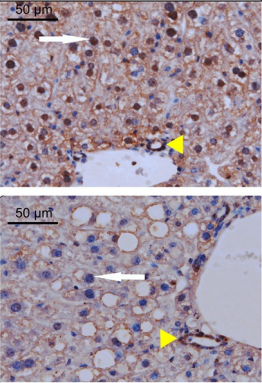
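Two high-power fields of liver show sheets of large polygonal hepatocytes with round central nuclei, counterstained blue. In the upper field many hepatocyte nuclei are stained dark brown and the cytoplasm carries a diffuse light brown tint. A vessel lumen lies at the lower edge, and beside it a small cluster of little, darkly stained cells marks bile ductular cells. In the lower field hepatocyte nuclei are blue rather than brown, and many hepatocytes contain clear, round cytoplasmic vacuoles of varying size. A large vessel lumen occupies the right side of the lower field, with small darkly stained cells at its margin.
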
